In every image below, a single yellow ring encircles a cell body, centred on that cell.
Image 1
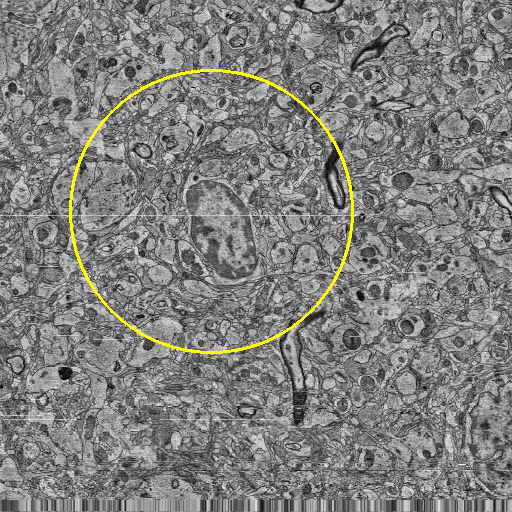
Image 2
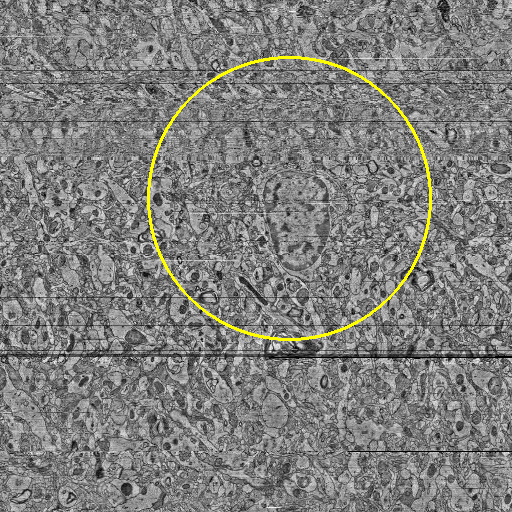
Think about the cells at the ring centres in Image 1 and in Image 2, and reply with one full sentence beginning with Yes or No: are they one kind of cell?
Yes, the cells centred in the rings of Image 1 and Image 2 are one kind of cell.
